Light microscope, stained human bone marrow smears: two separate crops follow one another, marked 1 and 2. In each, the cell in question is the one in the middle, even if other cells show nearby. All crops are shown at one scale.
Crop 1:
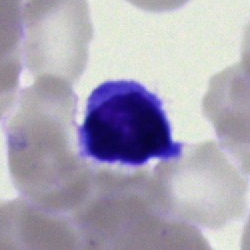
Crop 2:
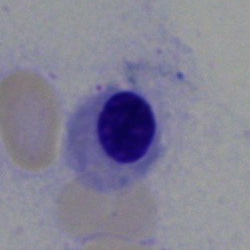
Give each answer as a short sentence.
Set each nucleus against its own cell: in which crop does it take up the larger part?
It is the cell in crop 1 that is filled more by its nucleus.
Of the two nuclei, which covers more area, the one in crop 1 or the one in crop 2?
It is the nucleus in crop 1, about 1.5 times as large in area as the one in crop 2.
